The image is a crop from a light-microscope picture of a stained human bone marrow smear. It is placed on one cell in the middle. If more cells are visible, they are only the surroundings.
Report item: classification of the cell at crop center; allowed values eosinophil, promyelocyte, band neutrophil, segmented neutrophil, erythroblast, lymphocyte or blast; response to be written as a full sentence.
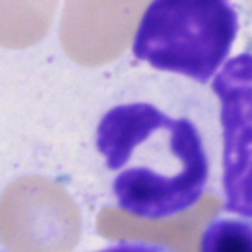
The middle cell in this particular crop is a segmented neutrophil.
